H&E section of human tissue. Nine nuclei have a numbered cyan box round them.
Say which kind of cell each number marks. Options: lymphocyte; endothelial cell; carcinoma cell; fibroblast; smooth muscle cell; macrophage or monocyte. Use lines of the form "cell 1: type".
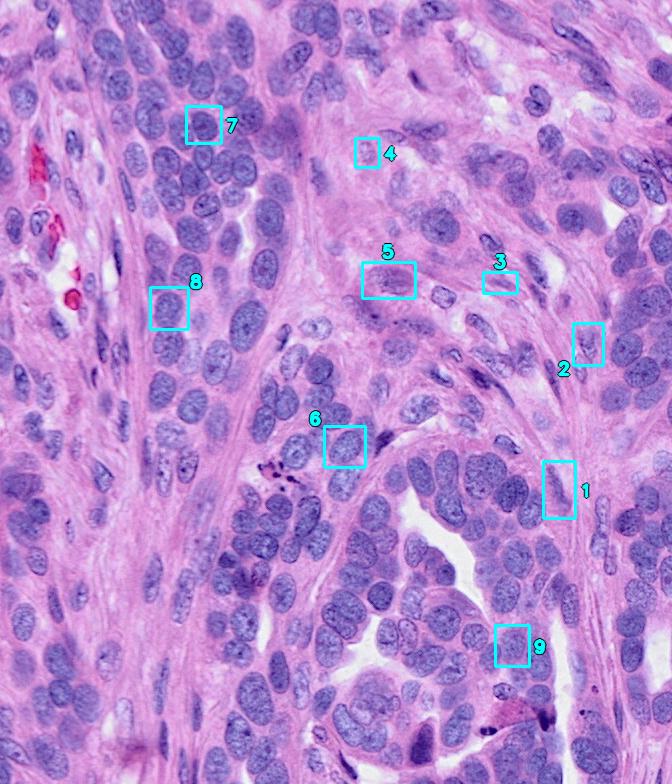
cell 1: fibroblast
cell 2: fibroblast
cell 3: fibroblast
cell 4: fibroblast
cell 5: fibroblast
cell 6: carcinoma cell
cell 7: carcinoma cell
cell 8: carcinoma cell
cell 9: carcinoma cell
